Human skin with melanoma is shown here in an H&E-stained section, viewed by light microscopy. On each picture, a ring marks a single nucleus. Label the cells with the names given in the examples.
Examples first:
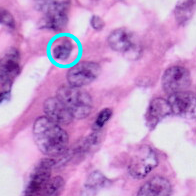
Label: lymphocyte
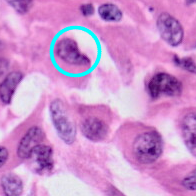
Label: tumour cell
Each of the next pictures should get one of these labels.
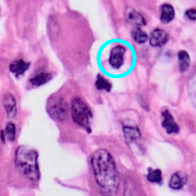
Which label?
lymphocyte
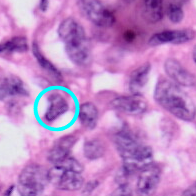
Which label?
tumour cell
